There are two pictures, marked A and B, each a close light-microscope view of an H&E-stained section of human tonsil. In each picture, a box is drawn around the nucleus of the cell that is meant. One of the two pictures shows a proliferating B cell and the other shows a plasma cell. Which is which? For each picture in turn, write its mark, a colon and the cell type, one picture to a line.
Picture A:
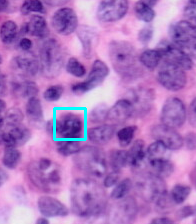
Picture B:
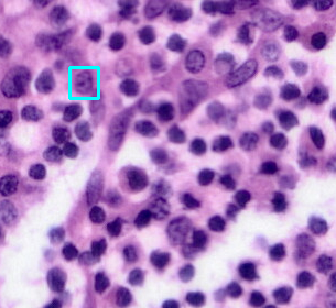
A: proliferating B cell
B: plasma cell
